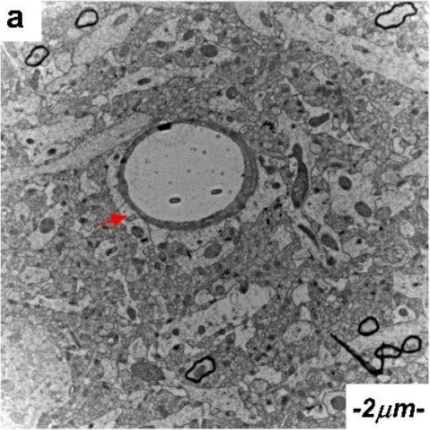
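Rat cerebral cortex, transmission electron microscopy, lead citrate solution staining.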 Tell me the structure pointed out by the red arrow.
microvessels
